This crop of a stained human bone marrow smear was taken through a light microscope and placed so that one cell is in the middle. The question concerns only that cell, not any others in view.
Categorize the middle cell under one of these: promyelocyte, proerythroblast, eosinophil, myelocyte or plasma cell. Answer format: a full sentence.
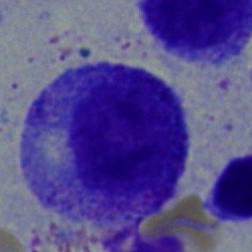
As for the central cell, it is a myelocyte.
